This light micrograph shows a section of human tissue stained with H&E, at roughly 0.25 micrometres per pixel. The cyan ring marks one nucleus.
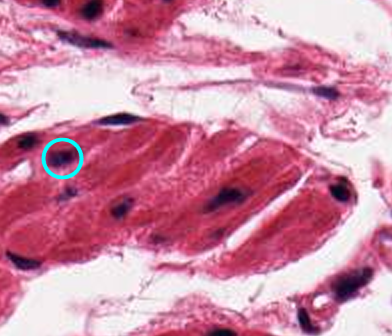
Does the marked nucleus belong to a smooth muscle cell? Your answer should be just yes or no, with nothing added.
yes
